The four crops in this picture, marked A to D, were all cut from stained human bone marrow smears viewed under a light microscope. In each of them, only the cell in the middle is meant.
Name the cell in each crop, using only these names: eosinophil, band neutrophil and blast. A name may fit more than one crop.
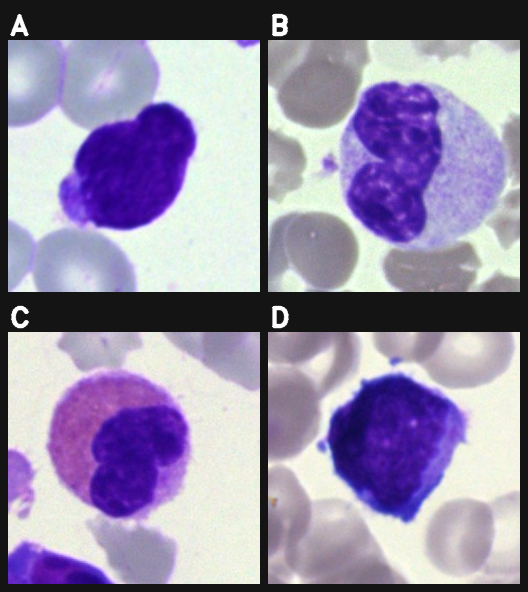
A: blast
B: band neutrophil
C: eosinophil
D: blast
